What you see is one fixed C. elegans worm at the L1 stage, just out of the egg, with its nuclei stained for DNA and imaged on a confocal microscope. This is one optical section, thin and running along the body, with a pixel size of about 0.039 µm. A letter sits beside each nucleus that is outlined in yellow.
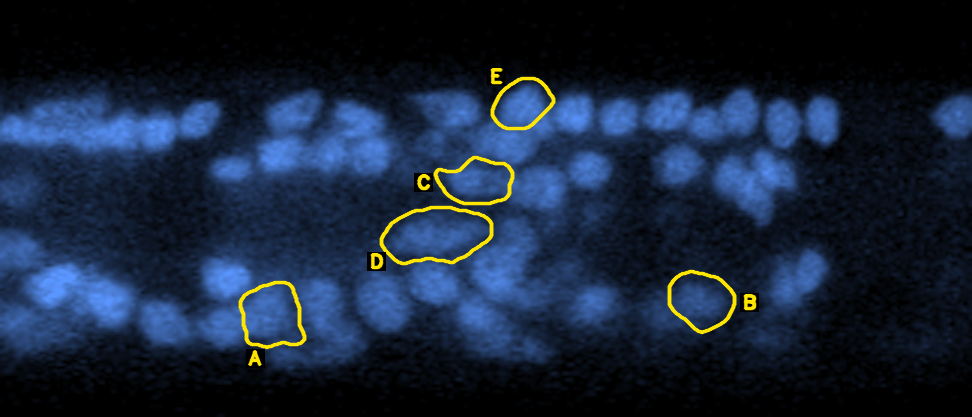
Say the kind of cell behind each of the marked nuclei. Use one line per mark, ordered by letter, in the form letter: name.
A: neuron
B: neuron
C: pharyngeal marginal cell
D: pharyngeal marginal cell
E: neuron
